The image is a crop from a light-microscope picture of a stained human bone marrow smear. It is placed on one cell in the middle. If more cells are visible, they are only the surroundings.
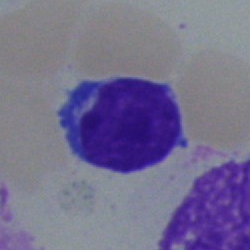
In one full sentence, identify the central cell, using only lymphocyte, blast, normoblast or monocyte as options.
The cell at the heart of this crop is a lymphocyte.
